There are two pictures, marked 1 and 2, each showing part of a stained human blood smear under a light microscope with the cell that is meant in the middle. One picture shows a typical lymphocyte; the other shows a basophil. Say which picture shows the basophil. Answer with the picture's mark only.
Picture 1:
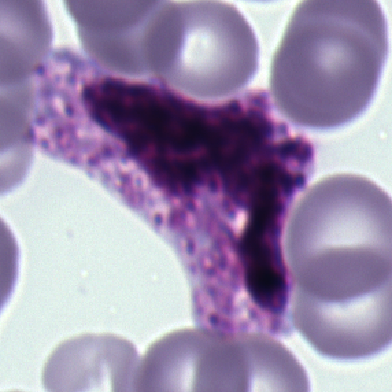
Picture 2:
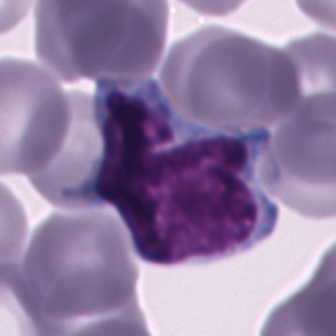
1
